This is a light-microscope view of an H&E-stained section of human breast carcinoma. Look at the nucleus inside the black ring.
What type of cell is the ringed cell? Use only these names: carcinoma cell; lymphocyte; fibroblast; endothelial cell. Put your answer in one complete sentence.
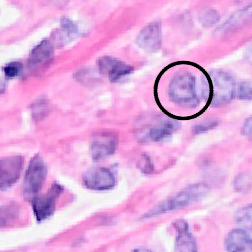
The ringed cell is a carcinoma cell.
